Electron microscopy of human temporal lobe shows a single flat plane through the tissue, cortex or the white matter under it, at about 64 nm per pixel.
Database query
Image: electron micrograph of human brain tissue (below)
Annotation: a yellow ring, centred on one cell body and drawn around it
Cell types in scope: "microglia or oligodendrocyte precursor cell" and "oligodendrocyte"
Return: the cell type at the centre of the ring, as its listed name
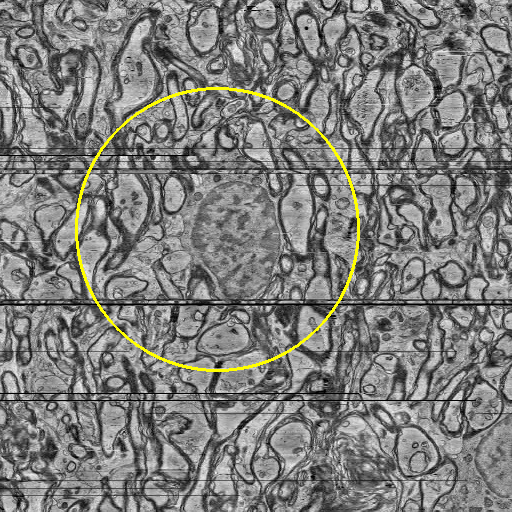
oligodendrocyte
